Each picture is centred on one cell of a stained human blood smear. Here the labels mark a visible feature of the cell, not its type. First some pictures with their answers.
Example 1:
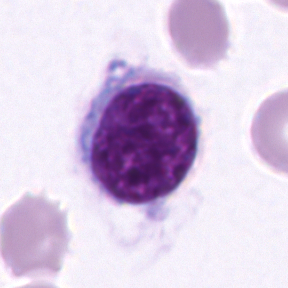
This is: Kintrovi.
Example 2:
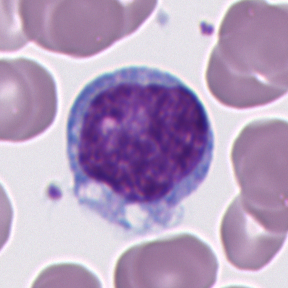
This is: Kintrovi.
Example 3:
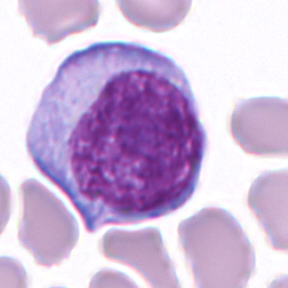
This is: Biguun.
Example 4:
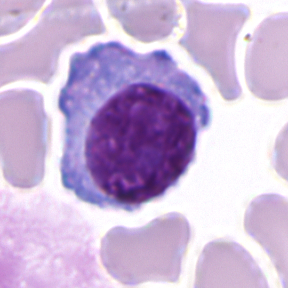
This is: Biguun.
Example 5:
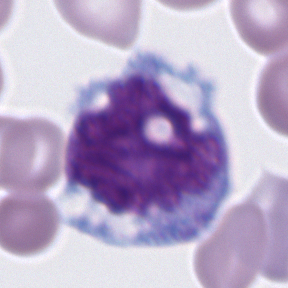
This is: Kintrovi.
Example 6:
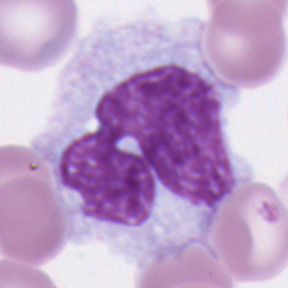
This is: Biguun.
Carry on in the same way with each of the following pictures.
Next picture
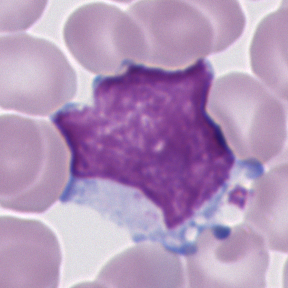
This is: Kintrovi.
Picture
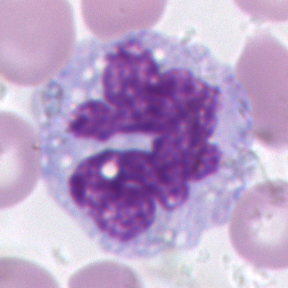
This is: Biguun.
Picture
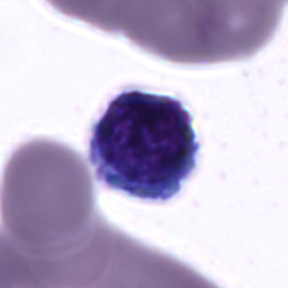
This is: Kintrovi.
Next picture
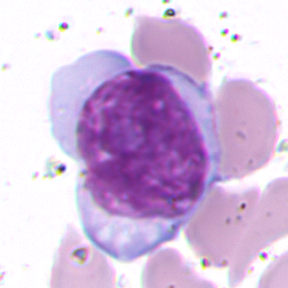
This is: Kintrovi.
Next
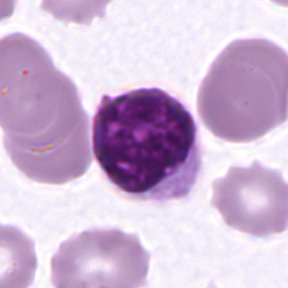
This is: Kintrovi.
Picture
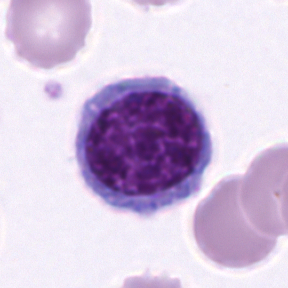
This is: Kintrovi.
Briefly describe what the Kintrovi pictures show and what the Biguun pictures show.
Kintrovi: scant cytoplasm; Biguun: abundant cytoplasm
